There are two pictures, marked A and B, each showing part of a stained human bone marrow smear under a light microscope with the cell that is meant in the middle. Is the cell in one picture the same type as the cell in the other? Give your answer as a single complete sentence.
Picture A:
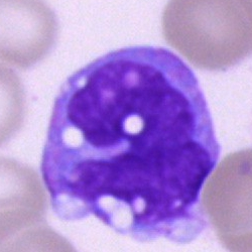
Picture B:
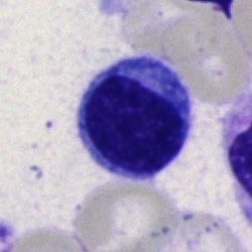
No; the cell in picture A is a monocyte, while the one in picture B is a lymphocyte.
